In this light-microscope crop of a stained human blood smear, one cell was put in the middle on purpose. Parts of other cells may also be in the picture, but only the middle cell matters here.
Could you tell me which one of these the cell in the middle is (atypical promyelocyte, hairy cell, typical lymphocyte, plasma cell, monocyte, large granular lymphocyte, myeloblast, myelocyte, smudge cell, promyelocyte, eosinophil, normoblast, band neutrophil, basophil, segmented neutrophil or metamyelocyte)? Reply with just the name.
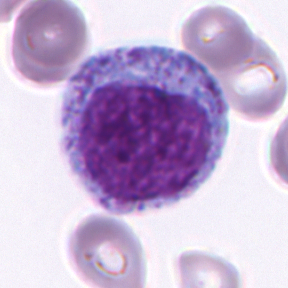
promyelocyte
